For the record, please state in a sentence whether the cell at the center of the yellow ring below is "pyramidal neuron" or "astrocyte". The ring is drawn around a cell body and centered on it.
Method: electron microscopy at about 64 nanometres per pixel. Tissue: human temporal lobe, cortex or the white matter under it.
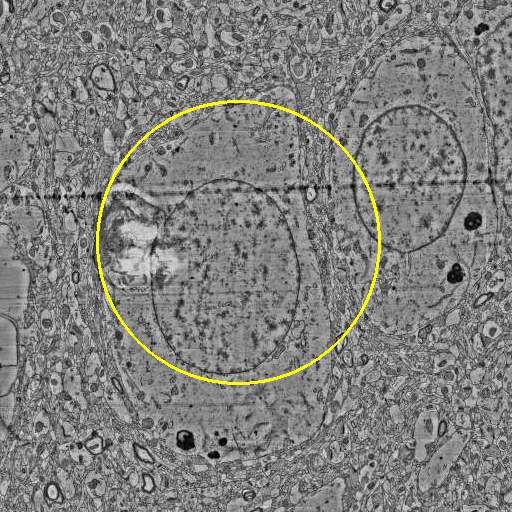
The cell at the ring's center is a pyramidal neuron.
